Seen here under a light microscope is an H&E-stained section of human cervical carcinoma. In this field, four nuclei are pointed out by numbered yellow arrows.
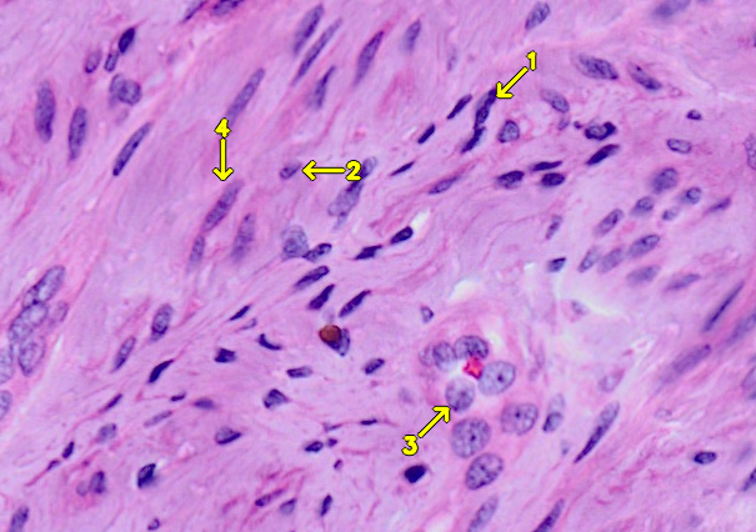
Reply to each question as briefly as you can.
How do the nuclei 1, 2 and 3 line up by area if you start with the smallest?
2, 1, 3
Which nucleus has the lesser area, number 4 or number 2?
2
